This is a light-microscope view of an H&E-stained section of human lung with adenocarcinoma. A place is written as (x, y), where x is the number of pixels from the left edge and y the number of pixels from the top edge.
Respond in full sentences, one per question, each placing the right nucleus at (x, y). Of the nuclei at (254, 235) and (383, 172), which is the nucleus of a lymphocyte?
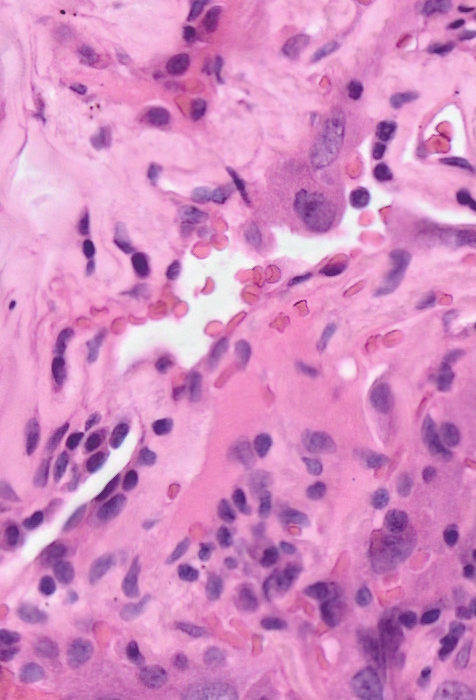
It is at (383, 172) that the nucleus of a lymphocyte is found.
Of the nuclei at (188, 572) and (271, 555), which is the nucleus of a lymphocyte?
Of the two nuclei, the nucleus of a lymphocyte is at (188, 572).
